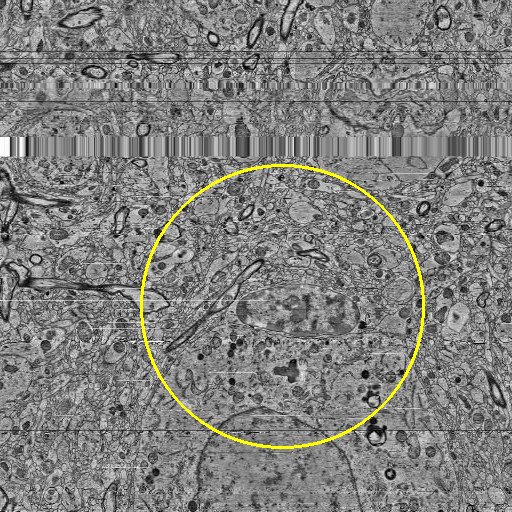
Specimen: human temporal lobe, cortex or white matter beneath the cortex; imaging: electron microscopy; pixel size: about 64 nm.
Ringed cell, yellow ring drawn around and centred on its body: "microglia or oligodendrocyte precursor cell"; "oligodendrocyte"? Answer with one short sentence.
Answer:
This ringed cell is a microglial cell or oligodendrocyte precursor cell.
